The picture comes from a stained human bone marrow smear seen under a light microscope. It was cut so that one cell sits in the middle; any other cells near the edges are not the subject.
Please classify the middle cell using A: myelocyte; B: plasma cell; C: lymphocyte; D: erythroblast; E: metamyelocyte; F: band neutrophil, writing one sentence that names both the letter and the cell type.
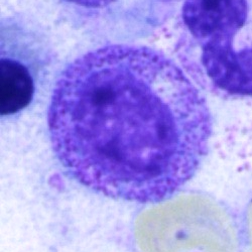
The central cell, a myelocyte, is correctly identified by option A.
